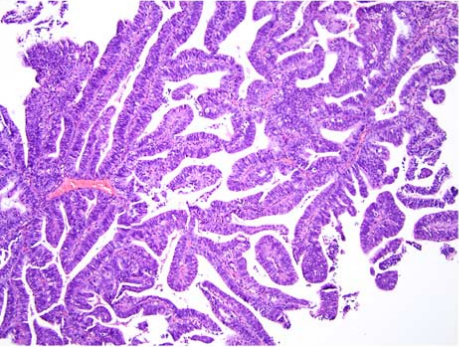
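Low-power view of carcinoma with a papillary architecture. Numerous branching, finger-like fronds radiate across the field, each lined by dark purple, crowded columnar epithelium covering a thin central core of pink fibrovascular stroma. A broader pink stromal band lies near the centre-left. Narrow clear spaces separate the fronds. At this magnification individual nuclei are small dark dots arranged along the surface of each frond, giving the epithelium a stratified, darkly stained appearance.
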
